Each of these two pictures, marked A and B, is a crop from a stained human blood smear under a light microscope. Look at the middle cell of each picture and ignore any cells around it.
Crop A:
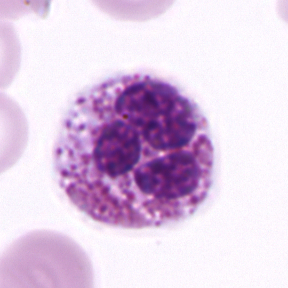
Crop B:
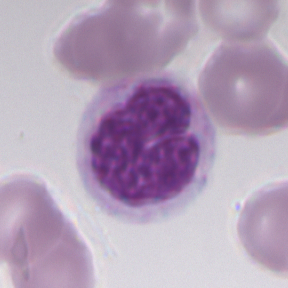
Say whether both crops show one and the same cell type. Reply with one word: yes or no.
no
